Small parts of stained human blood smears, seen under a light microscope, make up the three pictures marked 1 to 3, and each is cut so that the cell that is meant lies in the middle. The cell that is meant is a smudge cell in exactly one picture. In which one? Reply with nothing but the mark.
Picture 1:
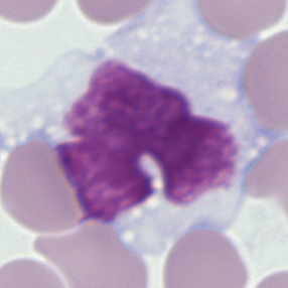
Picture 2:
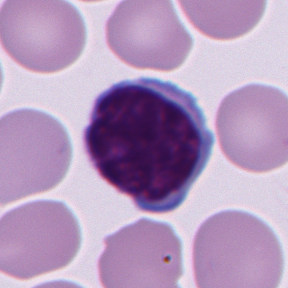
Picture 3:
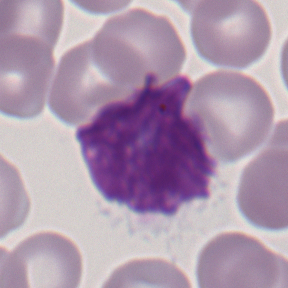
3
